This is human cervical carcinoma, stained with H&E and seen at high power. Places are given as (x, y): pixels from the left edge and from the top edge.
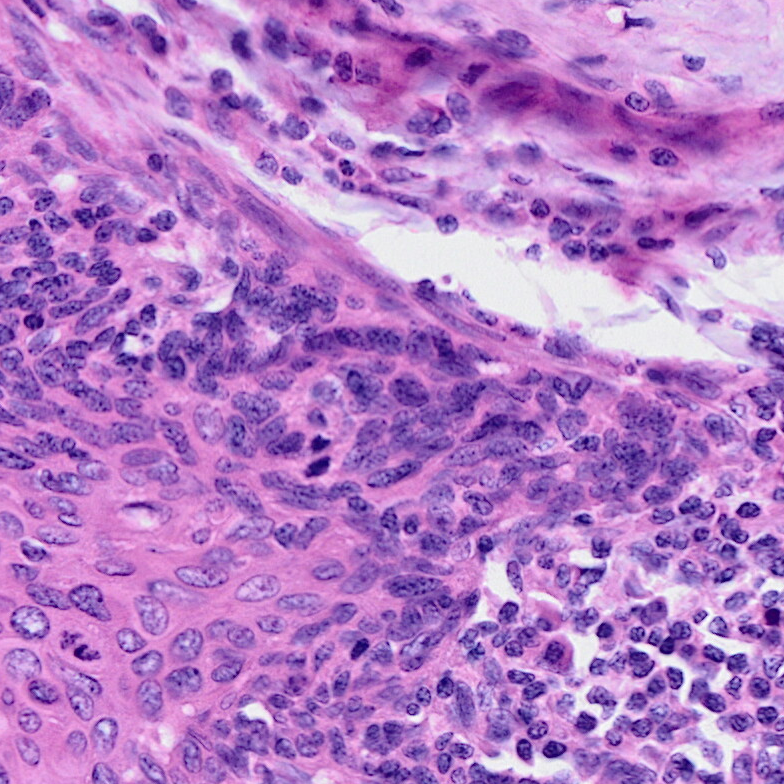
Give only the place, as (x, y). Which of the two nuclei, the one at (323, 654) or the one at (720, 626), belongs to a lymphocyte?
(720, 626)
